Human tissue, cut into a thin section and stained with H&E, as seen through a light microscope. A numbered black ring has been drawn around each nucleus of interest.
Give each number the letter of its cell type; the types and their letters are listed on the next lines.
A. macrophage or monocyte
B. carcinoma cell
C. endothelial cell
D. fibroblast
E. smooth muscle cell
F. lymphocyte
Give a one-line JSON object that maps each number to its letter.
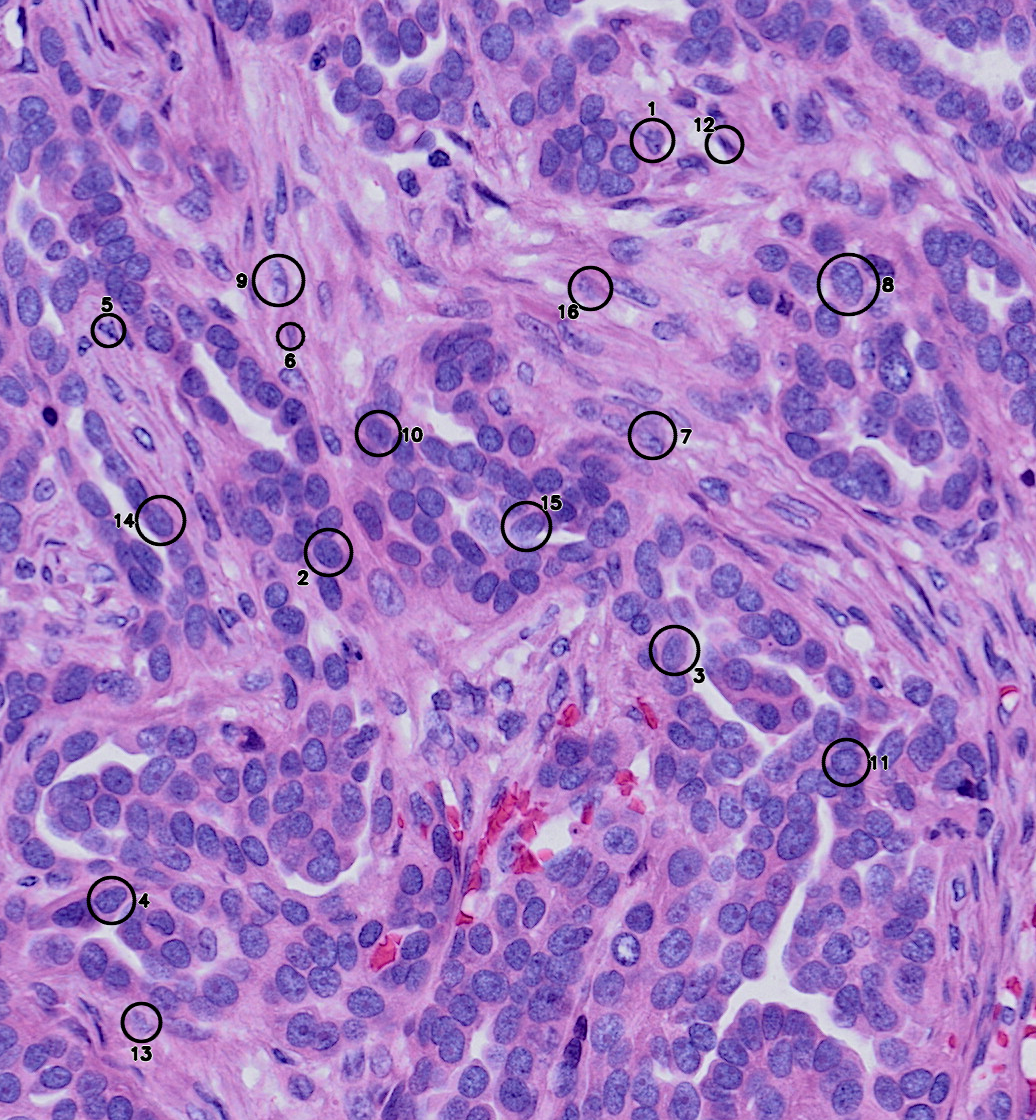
{"1": "A", "2": "B", "3": "B", "4": "B", "5": "D", "6": "D", "7": "D", "8": "B", "9": "D", "10": "B", "11": "B", "12": "D", "13": "D", "14": "B", "15": "B", "16": "D"}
